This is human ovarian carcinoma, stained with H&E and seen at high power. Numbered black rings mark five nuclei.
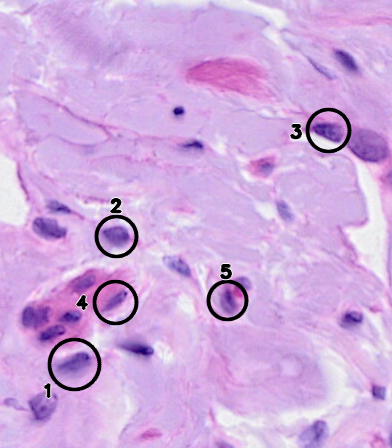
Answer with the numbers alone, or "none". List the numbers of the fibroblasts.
1, 2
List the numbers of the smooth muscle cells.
4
